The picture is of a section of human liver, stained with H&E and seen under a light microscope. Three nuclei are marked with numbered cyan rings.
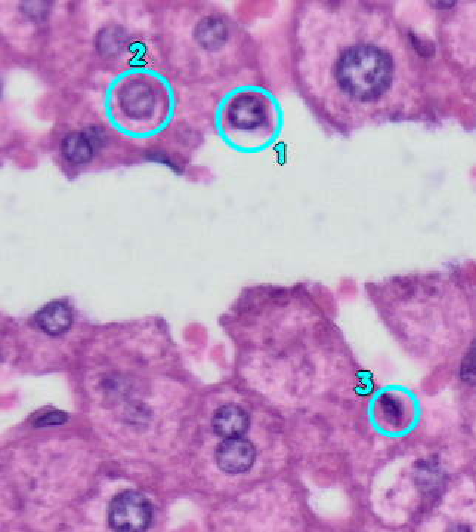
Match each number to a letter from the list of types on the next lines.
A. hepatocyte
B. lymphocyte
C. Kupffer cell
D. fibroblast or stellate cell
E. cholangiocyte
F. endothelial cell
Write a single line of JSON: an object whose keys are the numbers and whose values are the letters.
{"1": "A", "2": "A", "3": "D"}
